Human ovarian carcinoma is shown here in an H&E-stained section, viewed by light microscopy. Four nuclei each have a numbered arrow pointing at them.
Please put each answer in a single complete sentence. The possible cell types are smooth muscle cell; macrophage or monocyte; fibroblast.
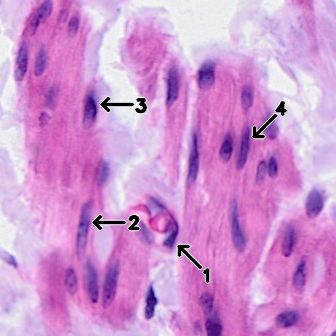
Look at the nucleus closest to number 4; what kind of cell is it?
Closest to number 4 lies the nucleus of a smooth muscle cell.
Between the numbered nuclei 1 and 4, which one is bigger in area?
Nucleus 4 is the larger one, covering about 2 times the area of nucleus 1.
